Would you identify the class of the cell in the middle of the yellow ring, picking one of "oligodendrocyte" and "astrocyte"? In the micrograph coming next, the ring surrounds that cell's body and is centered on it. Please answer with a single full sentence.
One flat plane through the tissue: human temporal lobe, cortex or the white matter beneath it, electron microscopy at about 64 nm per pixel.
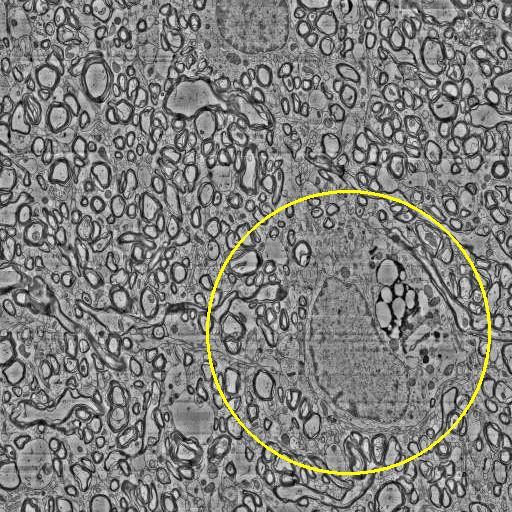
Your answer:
In the micrograph, it is an astrocyte whose body lies at the ring's center.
